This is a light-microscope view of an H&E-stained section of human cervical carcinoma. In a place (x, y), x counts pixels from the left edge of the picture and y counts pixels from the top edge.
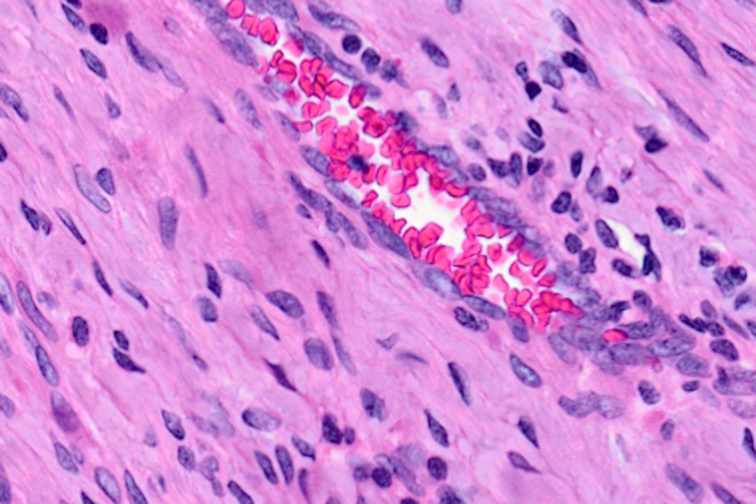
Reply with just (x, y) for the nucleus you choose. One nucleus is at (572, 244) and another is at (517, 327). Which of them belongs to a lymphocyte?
(572, 244)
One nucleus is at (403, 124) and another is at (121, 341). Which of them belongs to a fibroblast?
(121, 341)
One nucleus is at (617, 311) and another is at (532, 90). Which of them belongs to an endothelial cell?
(617, 311)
